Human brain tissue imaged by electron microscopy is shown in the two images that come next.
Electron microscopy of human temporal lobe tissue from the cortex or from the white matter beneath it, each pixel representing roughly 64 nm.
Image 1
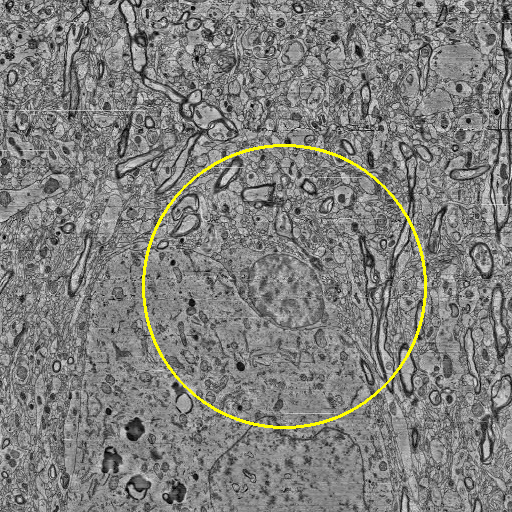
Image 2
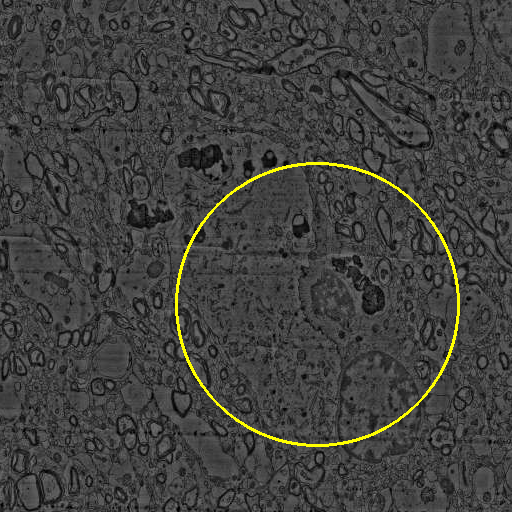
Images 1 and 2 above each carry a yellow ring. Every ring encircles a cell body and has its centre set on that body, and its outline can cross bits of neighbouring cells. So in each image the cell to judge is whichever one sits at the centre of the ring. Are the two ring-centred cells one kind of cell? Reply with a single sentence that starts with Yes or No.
Yes, in Image 1 and Image 2 the cells at the centres of their rings fall into one type.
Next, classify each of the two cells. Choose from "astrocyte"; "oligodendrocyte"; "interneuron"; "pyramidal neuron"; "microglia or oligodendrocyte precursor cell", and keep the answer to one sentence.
Each of the two rings surrounds an oligodendrocyte.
